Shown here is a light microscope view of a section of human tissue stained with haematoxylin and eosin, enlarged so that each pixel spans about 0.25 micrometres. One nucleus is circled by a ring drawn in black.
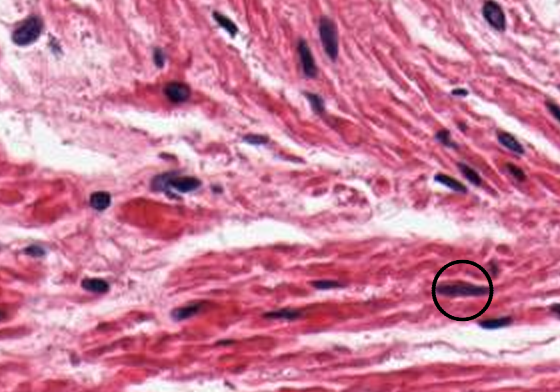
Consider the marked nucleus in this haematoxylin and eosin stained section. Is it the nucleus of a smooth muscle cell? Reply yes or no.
yes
